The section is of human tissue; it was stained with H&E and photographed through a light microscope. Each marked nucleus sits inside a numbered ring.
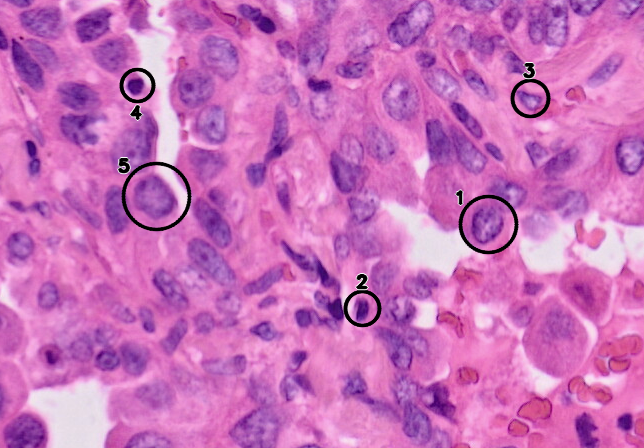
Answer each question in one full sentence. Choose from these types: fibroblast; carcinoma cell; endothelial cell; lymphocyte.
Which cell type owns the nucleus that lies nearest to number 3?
Closest to number 3 lies the nucleus of a fibroblast.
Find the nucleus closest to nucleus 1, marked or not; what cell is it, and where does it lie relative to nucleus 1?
It is a carcinoma cell, whose nucleus lies above and to the right of nucleus 1.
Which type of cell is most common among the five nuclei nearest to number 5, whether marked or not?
Most of the five nuclei nearest to number 5 are those of carcinoma cells.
